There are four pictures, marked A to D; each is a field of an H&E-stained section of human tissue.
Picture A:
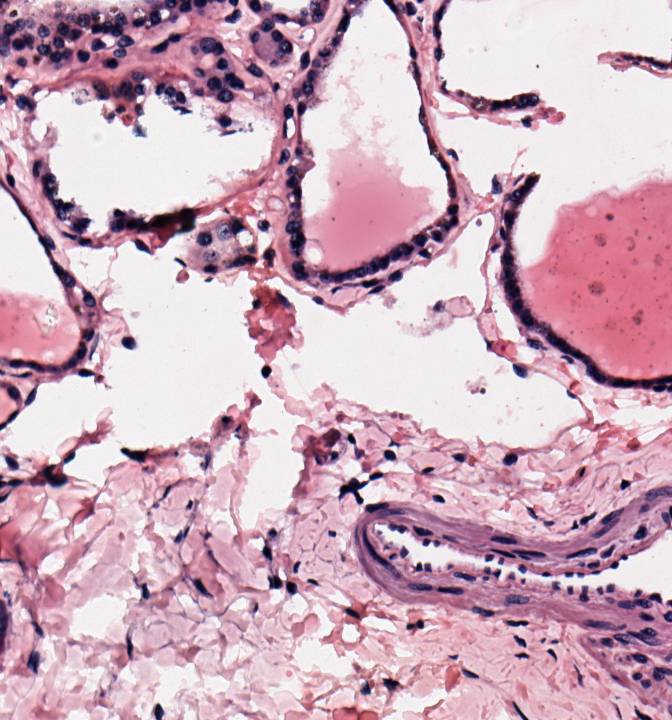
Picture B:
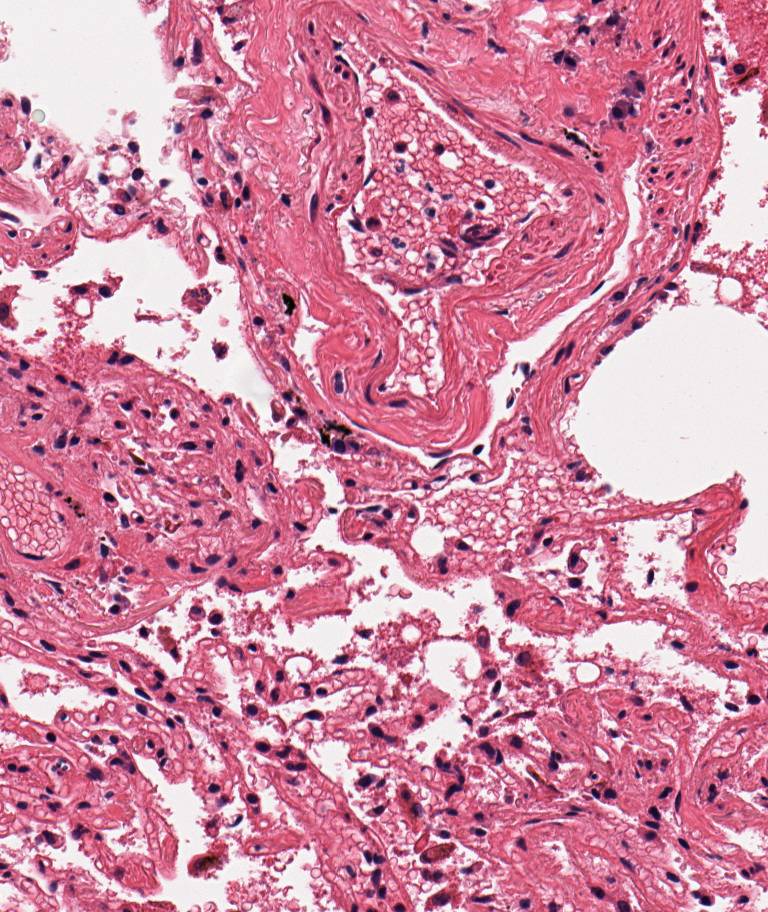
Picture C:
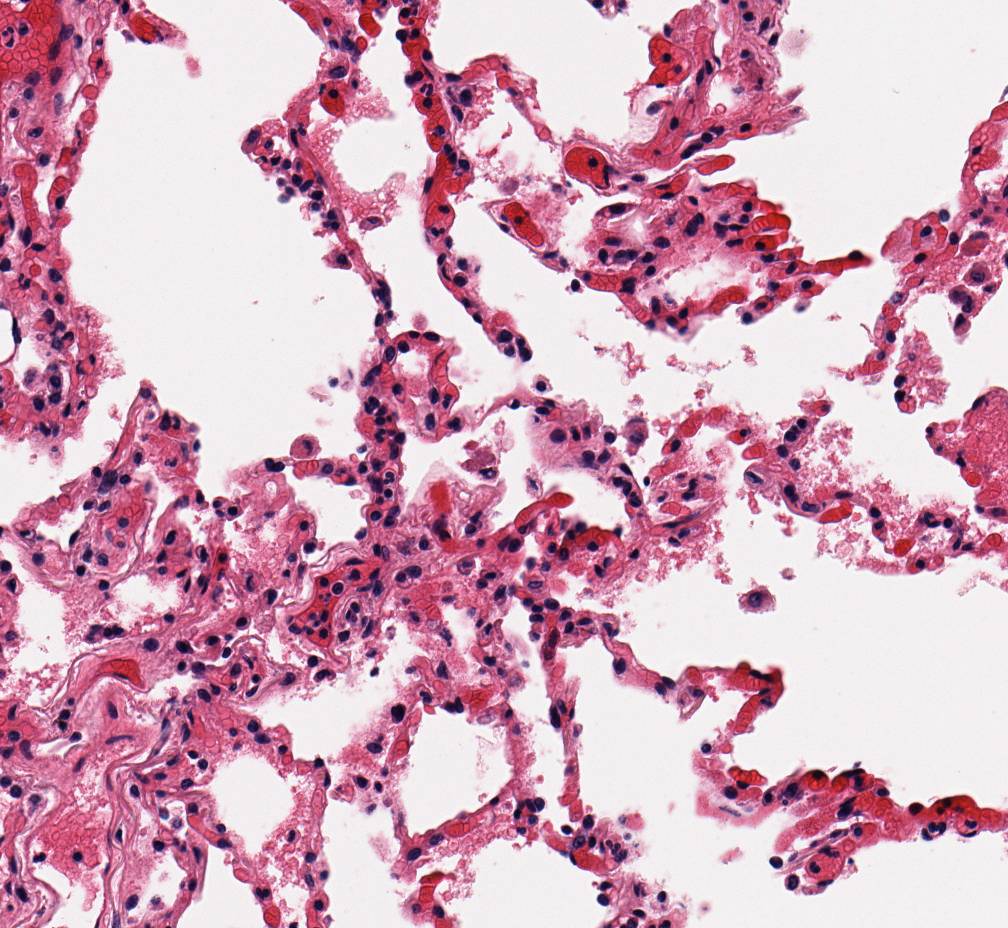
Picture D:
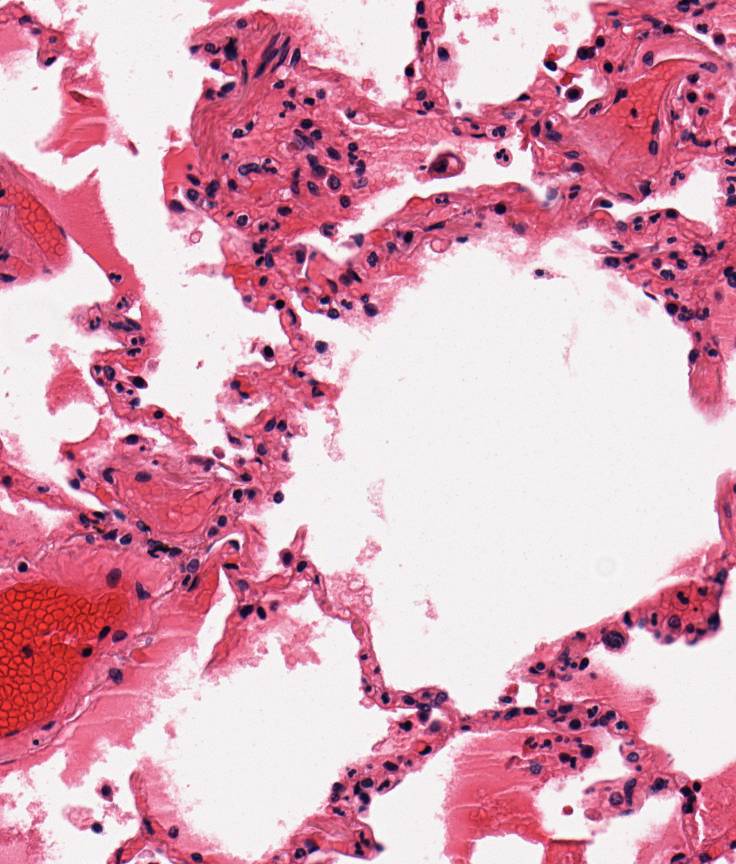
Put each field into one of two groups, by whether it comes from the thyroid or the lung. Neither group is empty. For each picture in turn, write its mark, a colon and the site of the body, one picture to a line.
A: thyroid
B: lung
C: lung
D: lung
